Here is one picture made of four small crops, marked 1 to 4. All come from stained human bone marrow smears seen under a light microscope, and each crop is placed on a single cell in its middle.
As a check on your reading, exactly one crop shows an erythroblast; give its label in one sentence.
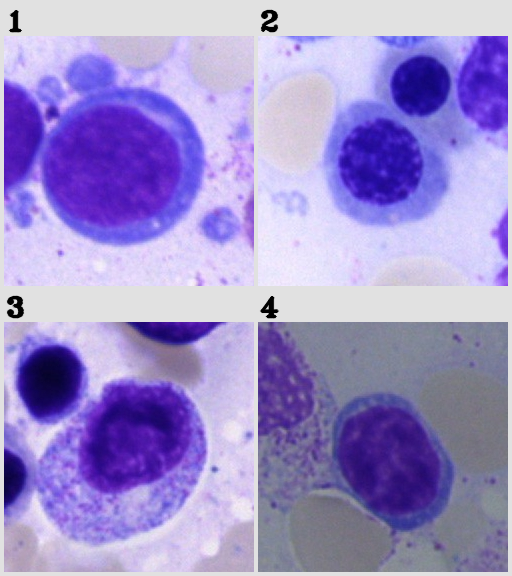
Look at crop 2; that is the one with an erythroblast in its center.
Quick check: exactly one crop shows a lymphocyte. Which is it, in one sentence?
Crop 4, and no other, shows a lymphocyte.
